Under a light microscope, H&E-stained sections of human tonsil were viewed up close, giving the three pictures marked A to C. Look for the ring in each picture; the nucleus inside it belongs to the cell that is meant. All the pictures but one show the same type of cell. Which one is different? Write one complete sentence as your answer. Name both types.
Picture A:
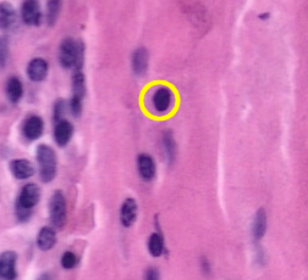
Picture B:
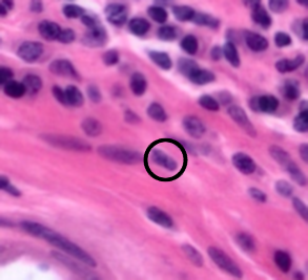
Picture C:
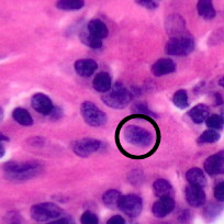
The others show mast cells, but picture C shows an endothelial cell.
